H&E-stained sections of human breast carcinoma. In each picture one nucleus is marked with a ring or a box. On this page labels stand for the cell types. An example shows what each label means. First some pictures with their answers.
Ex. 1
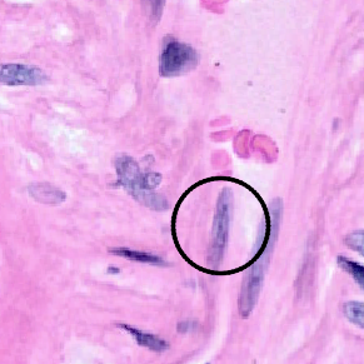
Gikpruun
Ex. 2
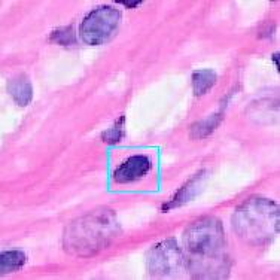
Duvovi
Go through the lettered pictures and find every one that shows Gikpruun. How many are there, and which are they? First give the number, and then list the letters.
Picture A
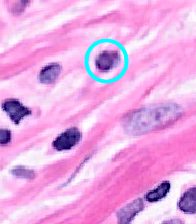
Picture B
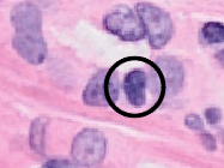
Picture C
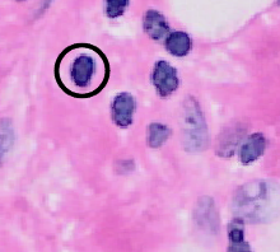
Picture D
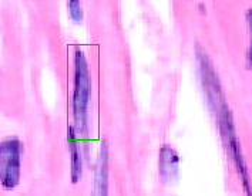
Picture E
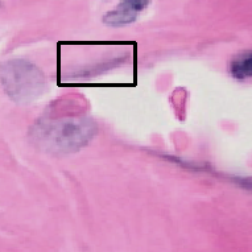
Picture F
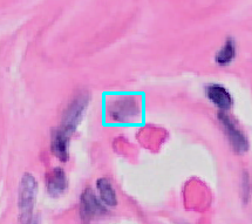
3: D, E, F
